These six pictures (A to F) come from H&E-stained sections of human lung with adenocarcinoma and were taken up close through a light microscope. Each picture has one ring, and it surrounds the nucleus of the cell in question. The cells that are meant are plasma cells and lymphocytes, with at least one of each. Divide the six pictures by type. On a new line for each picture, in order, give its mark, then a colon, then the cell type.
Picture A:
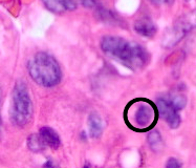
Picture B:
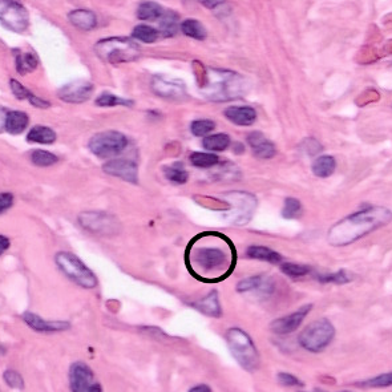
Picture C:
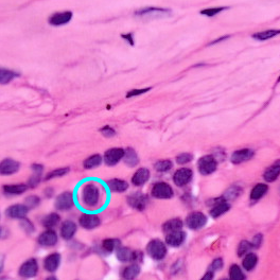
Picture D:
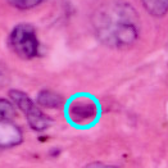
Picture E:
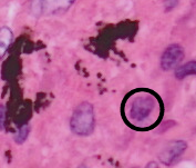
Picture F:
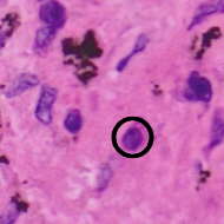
A: lymphocyte
B: plasma cell
C: lymphocyte
D: plasma cell
E: plasma cell
F: plasma cell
